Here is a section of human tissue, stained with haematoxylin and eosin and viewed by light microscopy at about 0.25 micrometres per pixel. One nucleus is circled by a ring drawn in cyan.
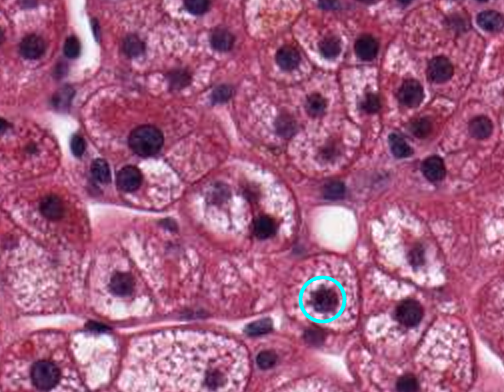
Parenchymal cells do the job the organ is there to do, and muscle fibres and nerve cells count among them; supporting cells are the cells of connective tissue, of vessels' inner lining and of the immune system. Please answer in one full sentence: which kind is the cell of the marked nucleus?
The marked nucleus is housed in a parenchymal cell, namely an adrenal cortical cell.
